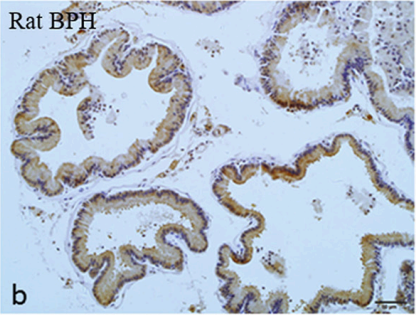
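Several prostate glands with deeply infolded, papillary linings are seen, separated by thin loose connective tissue. The lining is a single row of tall columnar epithelial cells with blue basal nuclei, and their cytoplasm is strongly brown. The loose stroma between the glands is mostly pale, with only a little scattered brown. Some pale secretion and loose cells lie within the lumens.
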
